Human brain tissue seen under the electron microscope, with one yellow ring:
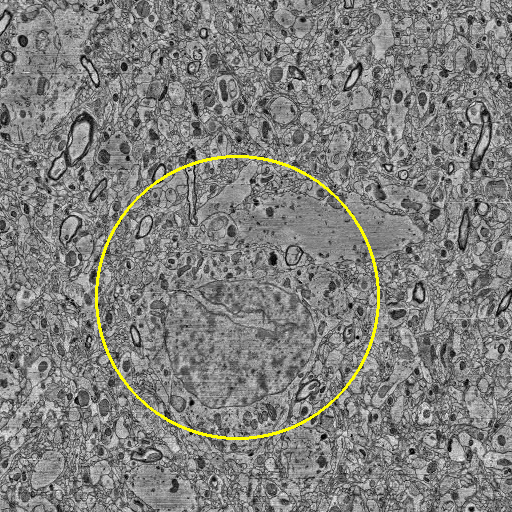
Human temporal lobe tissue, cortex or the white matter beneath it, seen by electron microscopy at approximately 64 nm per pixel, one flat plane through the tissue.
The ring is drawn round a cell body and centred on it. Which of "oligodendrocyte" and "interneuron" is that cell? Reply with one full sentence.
The picture shows an interneuron at the very centre of the yellow ring.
